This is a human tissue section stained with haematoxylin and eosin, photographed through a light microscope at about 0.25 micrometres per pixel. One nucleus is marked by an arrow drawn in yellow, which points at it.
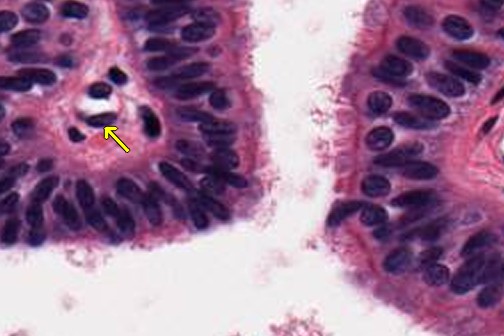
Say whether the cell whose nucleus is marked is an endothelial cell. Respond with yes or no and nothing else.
yes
